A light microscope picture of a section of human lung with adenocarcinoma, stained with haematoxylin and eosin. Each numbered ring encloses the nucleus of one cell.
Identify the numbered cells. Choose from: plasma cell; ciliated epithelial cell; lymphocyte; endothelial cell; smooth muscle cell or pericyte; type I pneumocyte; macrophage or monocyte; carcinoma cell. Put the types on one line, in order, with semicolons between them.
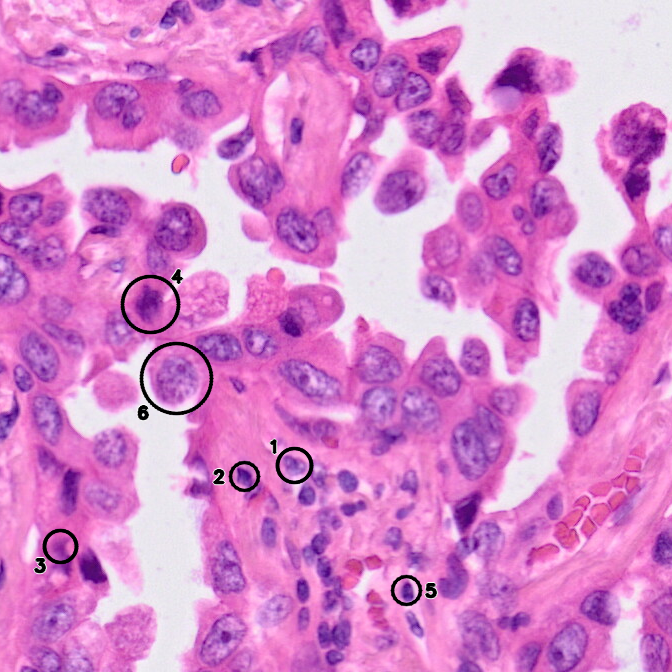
lymphocyte; lymphocyte; carcinoma cell; carcinoma cell; lymphocyte; carcinoma cell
